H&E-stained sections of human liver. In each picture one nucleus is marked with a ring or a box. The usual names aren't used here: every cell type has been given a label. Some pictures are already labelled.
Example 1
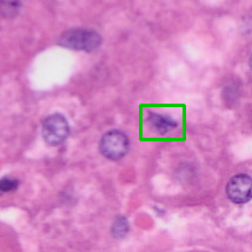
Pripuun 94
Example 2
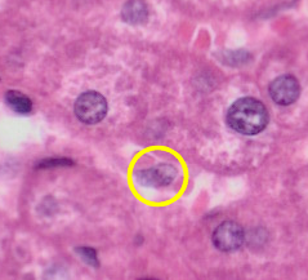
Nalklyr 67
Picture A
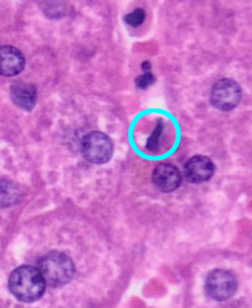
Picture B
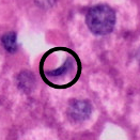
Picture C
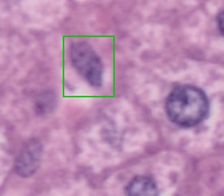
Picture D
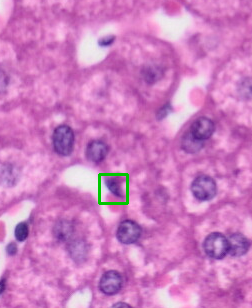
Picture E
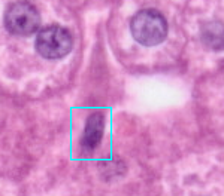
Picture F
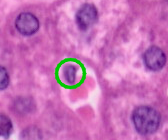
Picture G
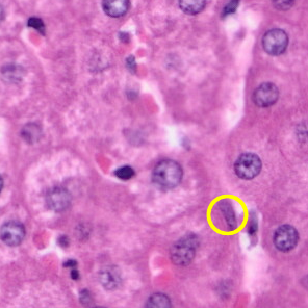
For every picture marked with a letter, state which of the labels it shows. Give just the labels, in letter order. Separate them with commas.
Pripuun 94, Pripuun 94, Nalklyr 67, Pripuun 94, Nalklyr 67, Nalklyr 67, Nalklyr 67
